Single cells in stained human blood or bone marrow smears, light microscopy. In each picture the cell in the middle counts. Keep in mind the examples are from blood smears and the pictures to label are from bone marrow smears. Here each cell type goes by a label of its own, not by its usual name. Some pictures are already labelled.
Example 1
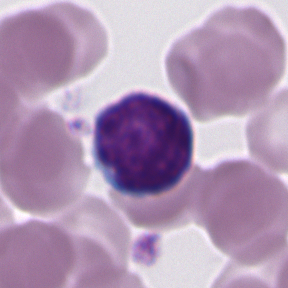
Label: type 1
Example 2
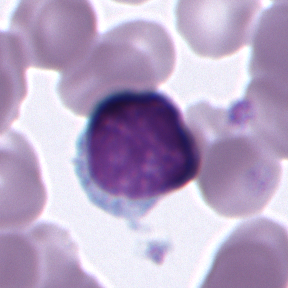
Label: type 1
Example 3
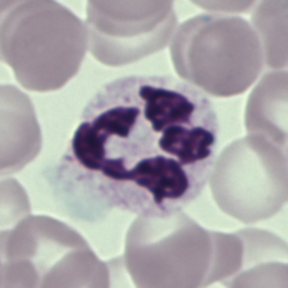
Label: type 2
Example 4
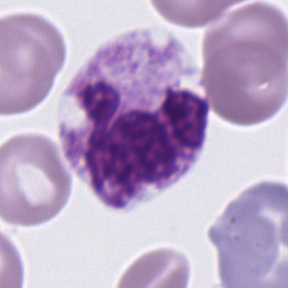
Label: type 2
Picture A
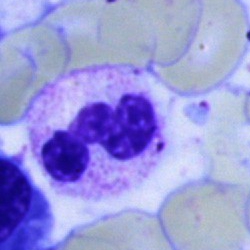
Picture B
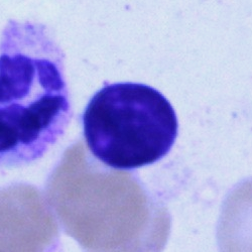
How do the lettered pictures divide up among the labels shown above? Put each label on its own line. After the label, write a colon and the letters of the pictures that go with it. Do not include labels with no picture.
type 1: B
type 2: A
